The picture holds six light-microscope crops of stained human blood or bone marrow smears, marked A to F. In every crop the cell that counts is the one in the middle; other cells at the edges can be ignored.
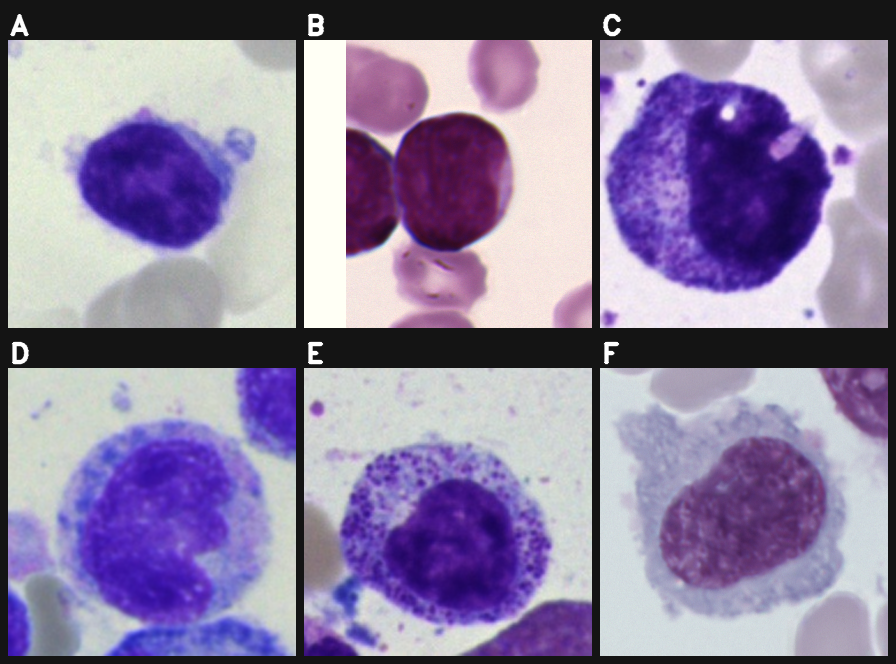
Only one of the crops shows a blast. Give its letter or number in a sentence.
Crop B is the right one; it is the crop showing a blast.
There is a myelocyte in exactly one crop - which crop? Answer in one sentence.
The crop showing a myelocyte in this series is crop E.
